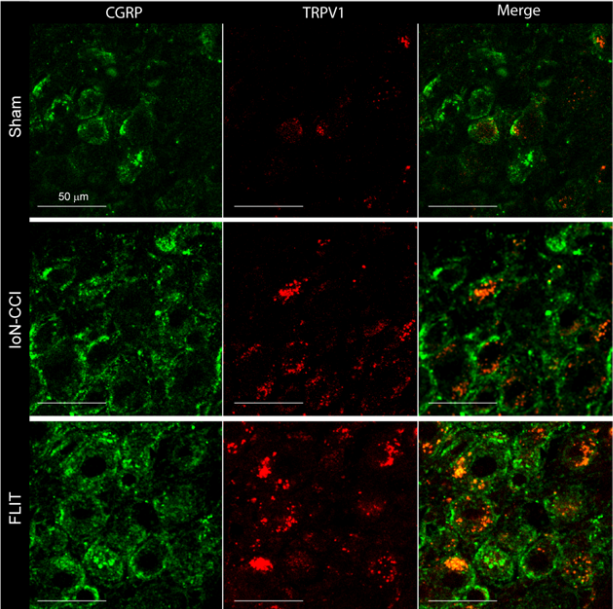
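This is a grid of fluorescence images of neurons whose large round cell bodies lie close together. In the green channel the label outlines the cell bodies and fills their cytoplasm with a granular pattern, leaving dark, rounded central areas. In the red channel the label appears as clustered puncta and patches within some of the cell bodies. Where the two channels are merged, part of the red puncta coincide with green label and appear orange to yellow.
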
